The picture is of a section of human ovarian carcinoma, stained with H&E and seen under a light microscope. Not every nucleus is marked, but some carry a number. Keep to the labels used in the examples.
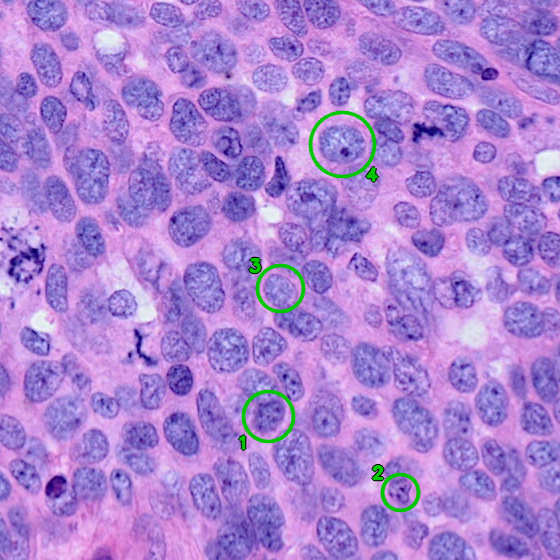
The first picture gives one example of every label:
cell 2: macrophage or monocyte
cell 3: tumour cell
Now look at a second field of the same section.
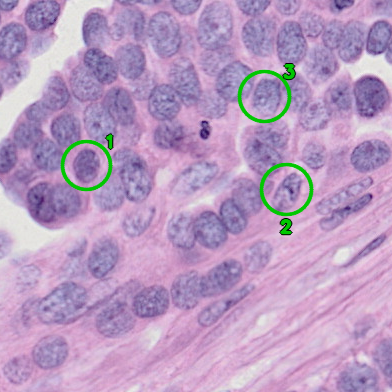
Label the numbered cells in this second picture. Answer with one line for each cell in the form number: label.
1: tumour cell
2: macrophage or monocyte
3: tumour cell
